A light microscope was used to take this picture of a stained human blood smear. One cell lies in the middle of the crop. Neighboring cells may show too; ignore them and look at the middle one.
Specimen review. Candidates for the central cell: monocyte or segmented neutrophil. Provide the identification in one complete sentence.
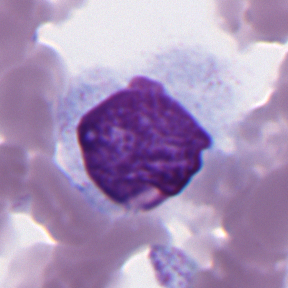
The cell under consideration, at the middle of the crop, is a monocyte.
